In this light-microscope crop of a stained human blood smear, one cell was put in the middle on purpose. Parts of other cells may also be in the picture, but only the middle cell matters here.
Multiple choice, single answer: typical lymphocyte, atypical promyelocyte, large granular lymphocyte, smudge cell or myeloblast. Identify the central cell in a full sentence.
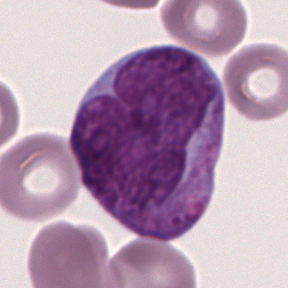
To answer, the cell in the center of the crop is an atypical promyelocyte.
